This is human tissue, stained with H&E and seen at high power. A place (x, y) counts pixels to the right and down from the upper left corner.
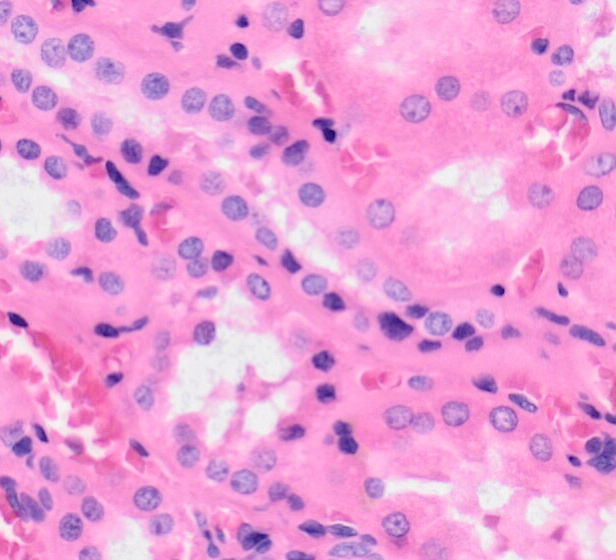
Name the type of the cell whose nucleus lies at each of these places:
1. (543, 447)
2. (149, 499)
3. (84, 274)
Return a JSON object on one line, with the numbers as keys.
{"1": "proximal tubule cell", "2": "loop of Henle or distal tubule cell", "3": "loop of Henle or distal tubule cell"}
